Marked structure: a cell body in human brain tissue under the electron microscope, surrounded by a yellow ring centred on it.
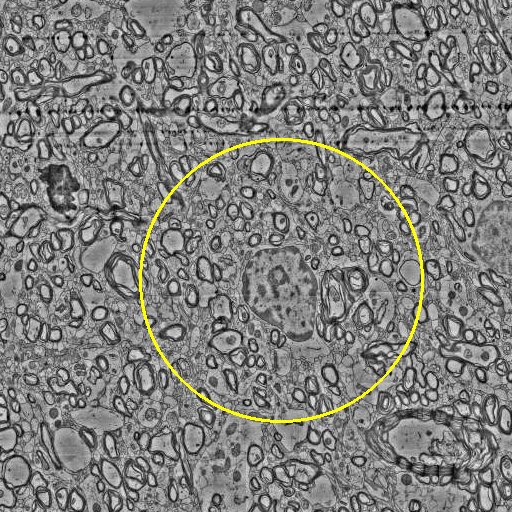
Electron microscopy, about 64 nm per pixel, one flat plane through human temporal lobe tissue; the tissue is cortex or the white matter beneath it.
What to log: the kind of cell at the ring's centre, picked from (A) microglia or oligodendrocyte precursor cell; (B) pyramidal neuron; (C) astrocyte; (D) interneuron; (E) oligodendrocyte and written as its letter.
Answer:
A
